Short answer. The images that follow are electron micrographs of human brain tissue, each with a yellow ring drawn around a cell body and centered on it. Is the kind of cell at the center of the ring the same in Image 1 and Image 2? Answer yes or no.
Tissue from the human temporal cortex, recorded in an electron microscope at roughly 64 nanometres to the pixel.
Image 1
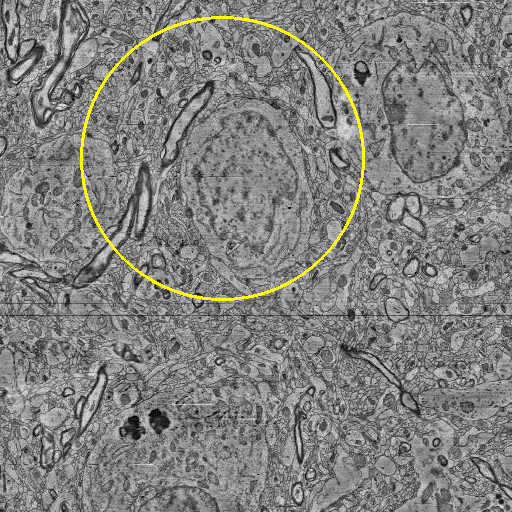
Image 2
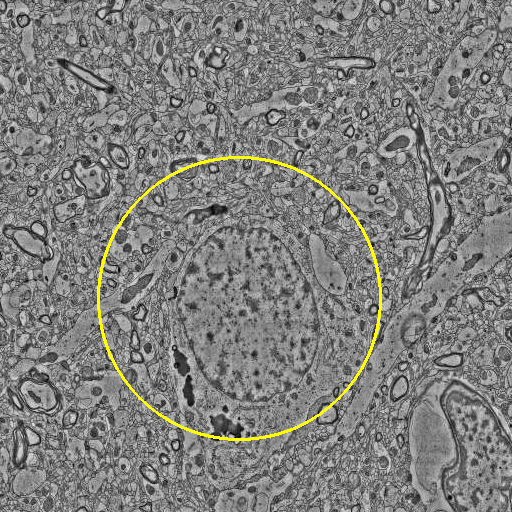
yes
